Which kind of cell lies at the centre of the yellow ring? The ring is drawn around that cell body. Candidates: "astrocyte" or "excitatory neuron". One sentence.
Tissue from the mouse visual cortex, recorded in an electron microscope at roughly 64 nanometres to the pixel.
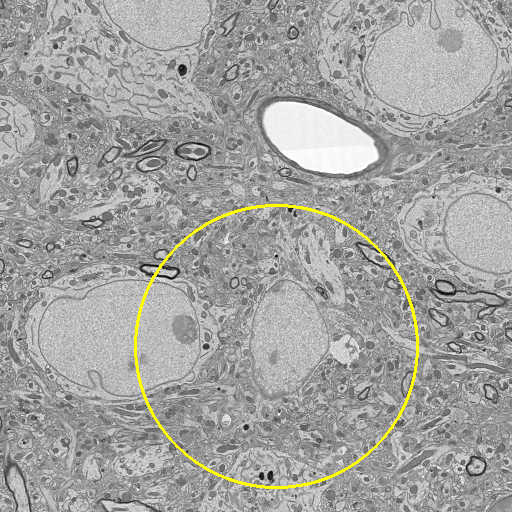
Lying at the centre of the ring is an astrocyte.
